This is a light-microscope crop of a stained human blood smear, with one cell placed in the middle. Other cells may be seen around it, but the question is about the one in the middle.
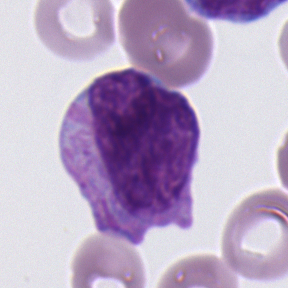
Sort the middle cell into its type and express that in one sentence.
Here the centrally located cell is an atypical promyelocyte.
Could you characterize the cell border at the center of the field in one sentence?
The edge is uneven, and this unevenness takes the form of ragged stretches or projections.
